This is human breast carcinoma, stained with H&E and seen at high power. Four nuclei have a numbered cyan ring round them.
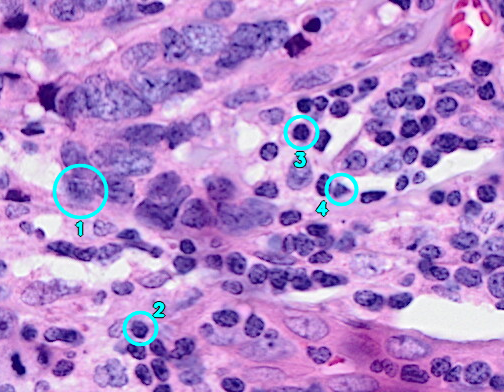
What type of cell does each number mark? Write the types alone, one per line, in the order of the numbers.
carcinoma cell
lymphocyte
lymphocyte
lymphocyte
